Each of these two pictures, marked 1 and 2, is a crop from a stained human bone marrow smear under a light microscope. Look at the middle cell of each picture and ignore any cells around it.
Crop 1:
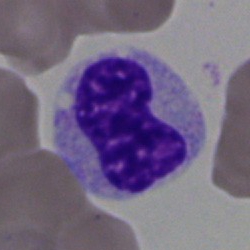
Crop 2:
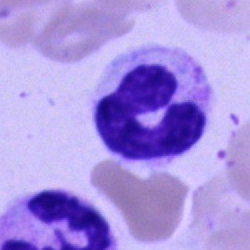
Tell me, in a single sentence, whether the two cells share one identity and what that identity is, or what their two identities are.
No, a metamyelocyte is centred in crop 1, and a band neutrophil is centred in crop 2.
